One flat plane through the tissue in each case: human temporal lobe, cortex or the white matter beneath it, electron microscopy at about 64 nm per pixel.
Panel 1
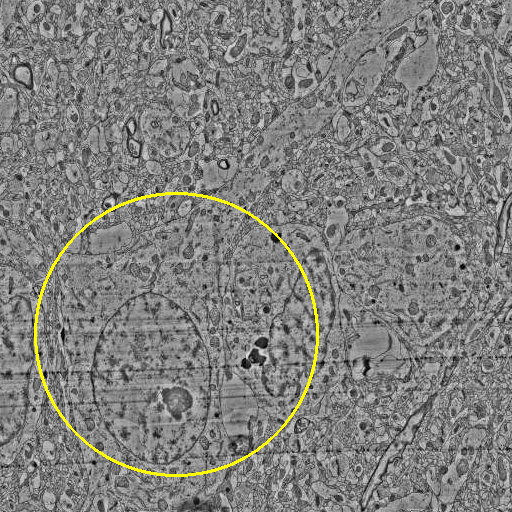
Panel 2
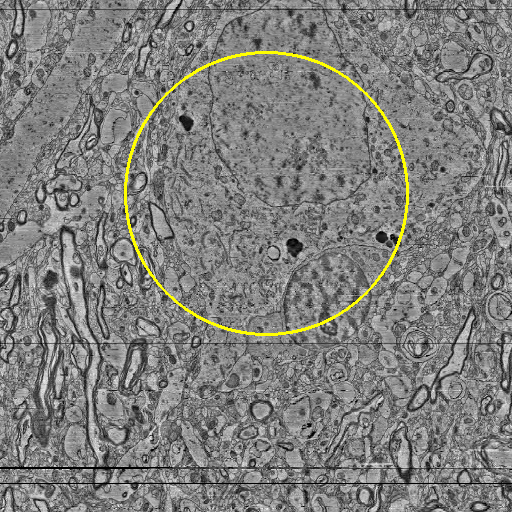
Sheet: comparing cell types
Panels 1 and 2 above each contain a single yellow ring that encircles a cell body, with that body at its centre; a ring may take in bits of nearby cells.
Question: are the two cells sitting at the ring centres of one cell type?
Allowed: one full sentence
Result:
Yes, the ring-centre cells in Panel 1 and Panel 2 are of one type.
